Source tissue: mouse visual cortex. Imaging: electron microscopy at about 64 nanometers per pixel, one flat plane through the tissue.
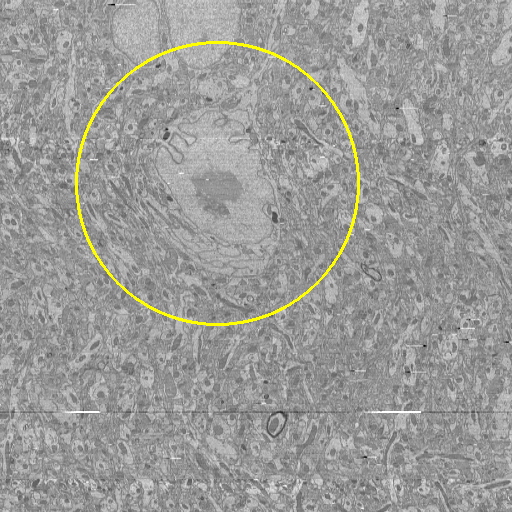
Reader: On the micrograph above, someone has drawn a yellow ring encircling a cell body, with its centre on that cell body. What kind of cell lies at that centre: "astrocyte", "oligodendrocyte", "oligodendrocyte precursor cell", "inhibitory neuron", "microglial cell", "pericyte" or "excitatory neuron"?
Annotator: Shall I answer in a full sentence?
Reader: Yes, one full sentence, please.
Here an inhibitory neuron sits at the centre of the yellow ring drawn on the micrograph.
